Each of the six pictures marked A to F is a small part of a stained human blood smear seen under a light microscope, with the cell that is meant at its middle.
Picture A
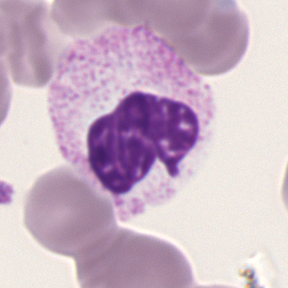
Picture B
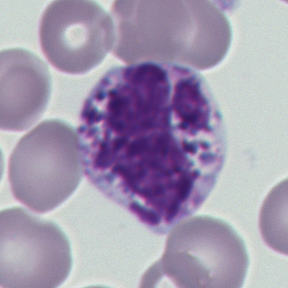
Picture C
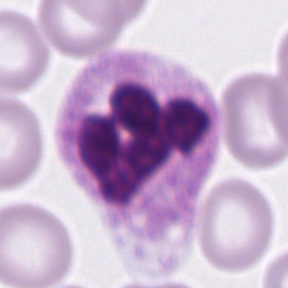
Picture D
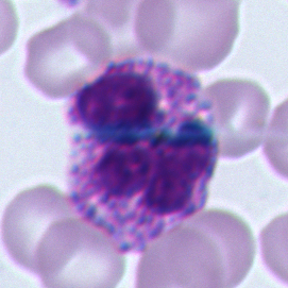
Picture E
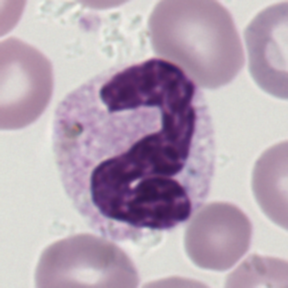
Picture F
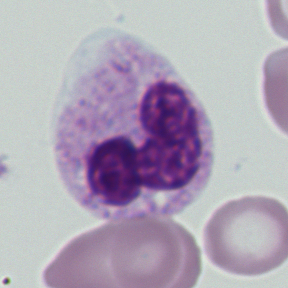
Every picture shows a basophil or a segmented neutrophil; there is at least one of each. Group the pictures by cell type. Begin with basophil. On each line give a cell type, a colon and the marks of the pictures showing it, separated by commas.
basophil: B, D
segmented neutrophil: A, C, E, F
